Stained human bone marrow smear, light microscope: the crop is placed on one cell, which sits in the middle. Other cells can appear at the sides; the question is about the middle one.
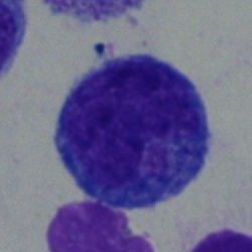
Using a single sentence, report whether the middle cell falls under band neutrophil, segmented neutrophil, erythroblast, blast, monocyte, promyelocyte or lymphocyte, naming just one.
In the crop, the cell of interest at the centre is a blast.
